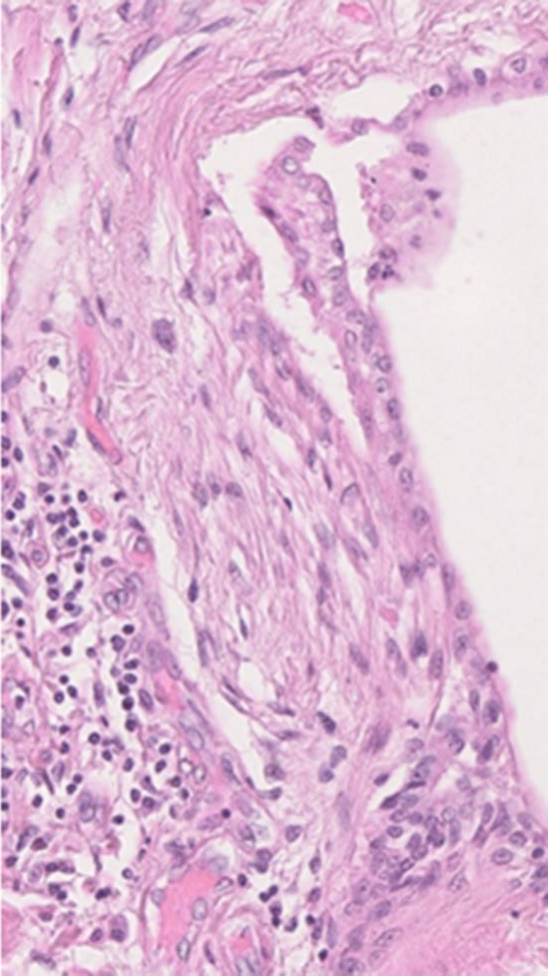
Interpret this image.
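A fibroblast focus in fibrotic lung: a dome of spindle-shaped cells with elongated, oval nuclei lies in loose, pale pink stroma and runs roughly parallel to the surface. It is covered on the airspace side by a single layer of cuboidal epithelial cells. To its left are densely packed small round inflammatory cells with dark nuclei and a few pink vessels.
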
